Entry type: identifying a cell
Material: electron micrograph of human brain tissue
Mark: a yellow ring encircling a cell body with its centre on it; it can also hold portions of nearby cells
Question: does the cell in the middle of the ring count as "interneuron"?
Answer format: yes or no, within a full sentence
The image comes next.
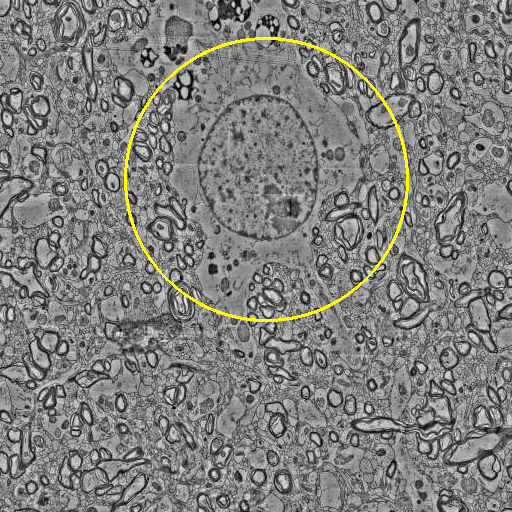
No, in the image, the cell in the middle of the yellow ring counts as a different kind.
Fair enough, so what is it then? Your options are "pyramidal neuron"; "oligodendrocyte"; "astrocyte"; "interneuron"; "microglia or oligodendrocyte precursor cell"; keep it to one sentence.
The cell ringed in the picture is an astrocyte.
